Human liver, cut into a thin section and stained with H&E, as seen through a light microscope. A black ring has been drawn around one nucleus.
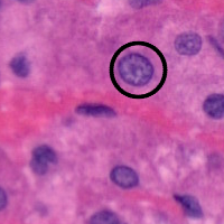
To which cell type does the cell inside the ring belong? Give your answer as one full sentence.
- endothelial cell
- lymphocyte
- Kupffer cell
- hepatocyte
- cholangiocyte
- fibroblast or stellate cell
Assigned to a cell type, the cell inside the ring is a hepatocyte.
